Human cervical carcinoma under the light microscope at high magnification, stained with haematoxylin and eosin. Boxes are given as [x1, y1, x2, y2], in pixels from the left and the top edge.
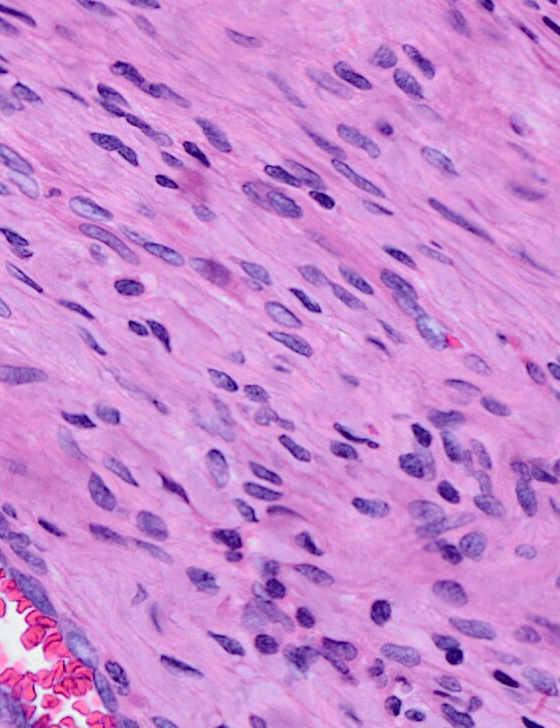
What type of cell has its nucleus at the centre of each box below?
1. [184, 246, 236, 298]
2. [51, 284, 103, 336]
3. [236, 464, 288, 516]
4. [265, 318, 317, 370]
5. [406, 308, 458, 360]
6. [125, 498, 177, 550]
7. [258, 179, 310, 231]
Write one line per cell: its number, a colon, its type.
1: endothelial cell
2: fibroblast
3: fibroblast
4: smooth muscle cell
5: endothelial cell
6: fibroblast
7: endothelial cell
